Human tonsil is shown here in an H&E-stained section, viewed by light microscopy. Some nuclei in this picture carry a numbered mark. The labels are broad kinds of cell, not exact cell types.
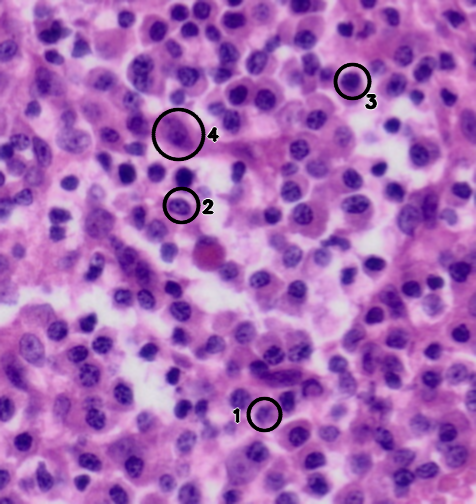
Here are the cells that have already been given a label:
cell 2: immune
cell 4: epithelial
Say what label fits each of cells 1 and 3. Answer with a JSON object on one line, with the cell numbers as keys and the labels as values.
{"1": "immune", "3": "immune"}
